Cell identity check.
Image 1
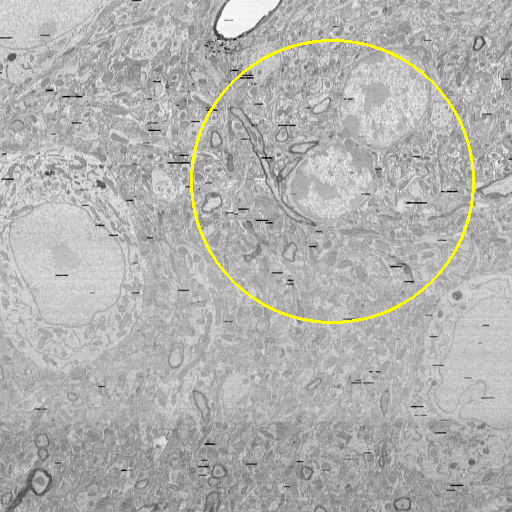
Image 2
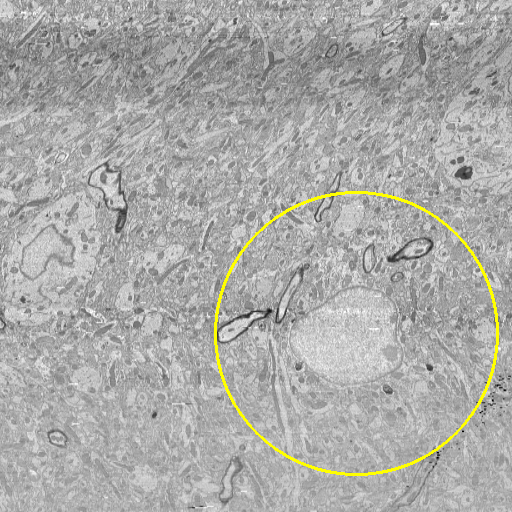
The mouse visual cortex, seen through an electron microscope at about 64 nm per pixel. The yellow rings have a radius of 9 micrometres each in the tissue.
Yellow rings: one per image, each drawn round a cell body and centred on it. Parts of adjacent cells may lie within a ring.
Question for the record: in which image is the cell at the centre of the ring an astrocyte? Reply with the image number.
2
